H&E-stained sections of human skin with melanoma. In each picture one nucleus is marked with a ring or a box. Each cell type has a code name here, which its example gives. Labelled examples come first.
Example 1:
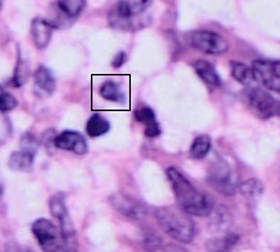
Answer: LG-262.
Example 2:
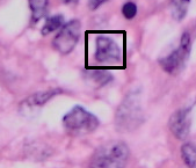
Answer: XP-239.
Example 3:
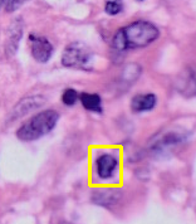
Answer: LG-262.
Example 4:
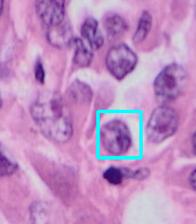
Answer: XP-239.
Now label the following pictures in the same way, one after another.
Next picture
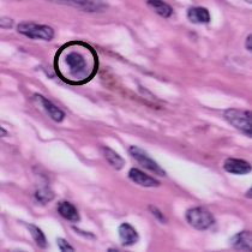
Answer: LG-262.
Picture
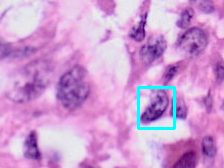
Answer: XP-239.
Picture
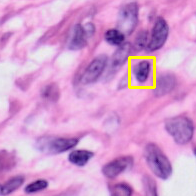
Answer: LG-262.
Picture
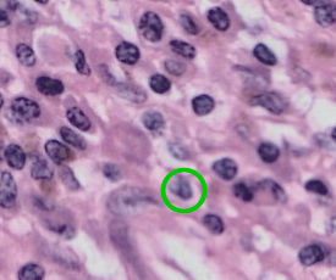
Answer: LG-262.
